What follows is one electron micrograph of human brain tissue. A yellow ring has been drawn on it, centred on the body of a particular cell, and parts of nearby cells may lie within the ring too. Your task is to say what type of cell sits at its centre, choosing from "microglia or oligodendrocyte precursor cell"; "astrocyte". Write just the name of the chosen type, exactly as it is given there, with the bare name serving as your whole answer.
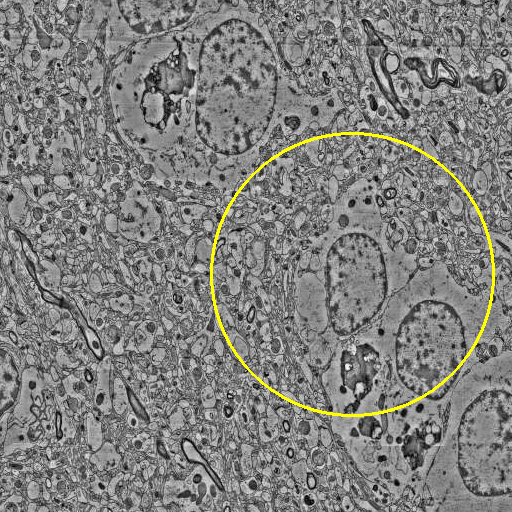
astrocyte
